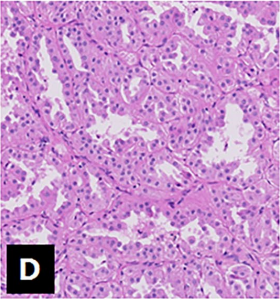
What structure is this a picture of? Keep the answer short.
predominantly tubular, partially papillary growth pattern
